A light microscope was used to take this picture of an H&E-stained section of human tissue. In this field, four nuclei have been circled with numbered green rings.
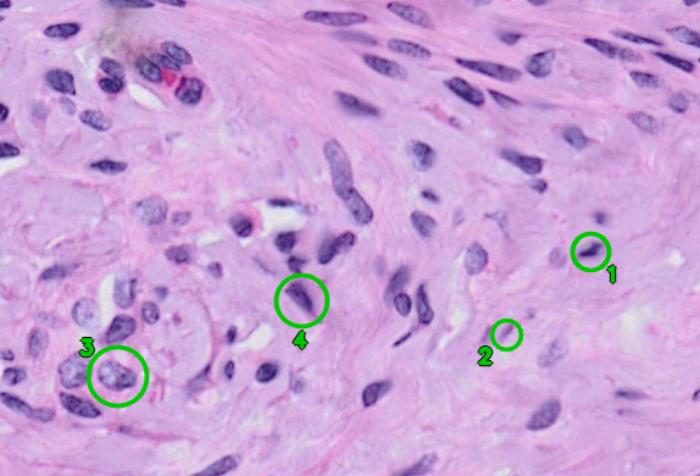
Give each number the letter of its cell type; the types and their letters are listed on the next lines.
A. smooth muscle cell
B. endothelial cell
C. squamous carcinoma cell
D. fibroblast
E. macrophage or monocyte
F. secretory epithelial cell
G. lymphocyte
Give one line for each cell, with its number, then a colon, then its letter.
1: D
2: D
3: B
4: D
